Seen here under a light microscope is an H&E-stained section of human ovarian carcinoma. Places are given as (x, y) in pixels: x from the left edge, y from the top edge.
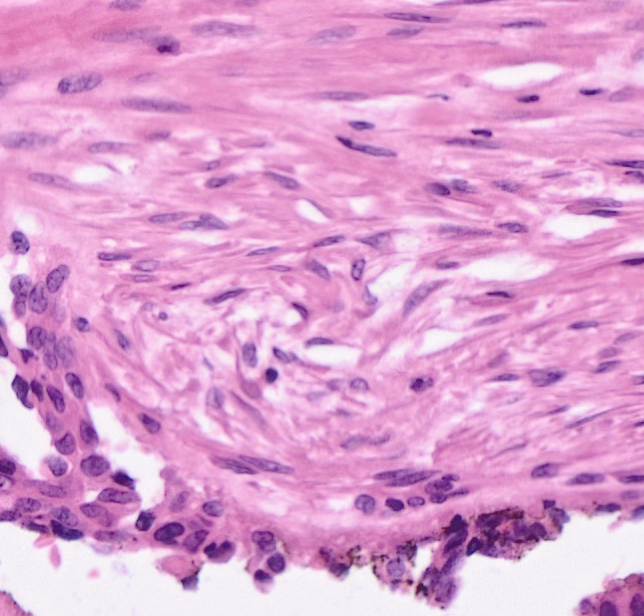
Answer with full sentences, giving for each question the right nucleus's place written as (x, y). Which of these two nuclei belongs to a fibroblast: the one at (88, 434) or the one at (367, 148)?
The nucleus at position (367, 148) belongs to a fibroblast.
